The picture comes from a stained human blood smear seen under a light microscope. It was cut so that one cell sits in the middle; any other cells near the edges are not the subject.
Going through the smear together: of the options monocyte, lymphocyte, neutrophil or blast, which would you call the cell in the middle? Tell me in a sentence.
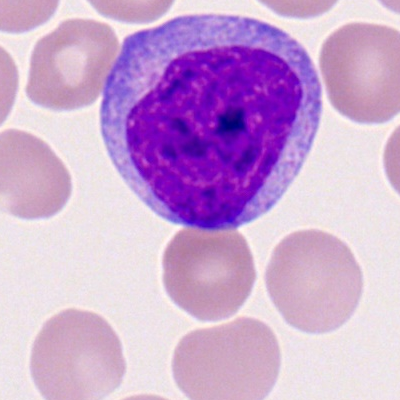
The cell at the heart of this crop is a blast.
